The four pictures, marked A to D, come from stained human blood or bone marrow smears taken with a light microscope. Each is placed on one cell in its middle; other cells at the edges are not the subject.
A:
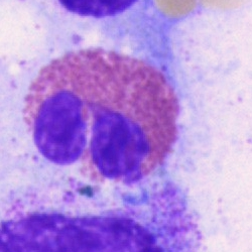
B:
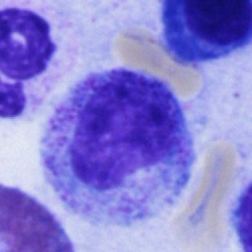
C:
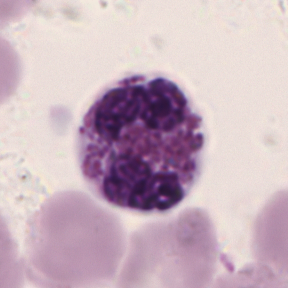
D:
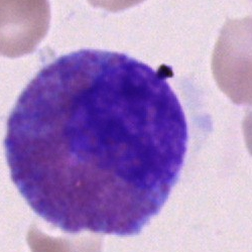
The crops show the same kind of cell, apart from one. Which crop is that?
B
